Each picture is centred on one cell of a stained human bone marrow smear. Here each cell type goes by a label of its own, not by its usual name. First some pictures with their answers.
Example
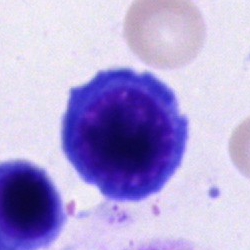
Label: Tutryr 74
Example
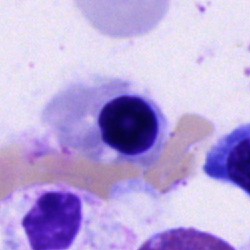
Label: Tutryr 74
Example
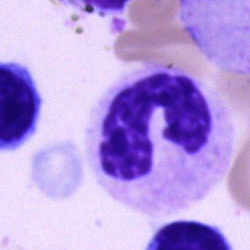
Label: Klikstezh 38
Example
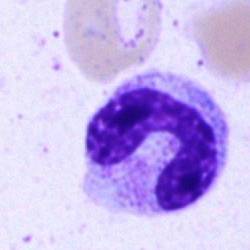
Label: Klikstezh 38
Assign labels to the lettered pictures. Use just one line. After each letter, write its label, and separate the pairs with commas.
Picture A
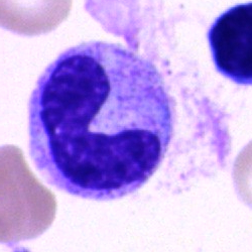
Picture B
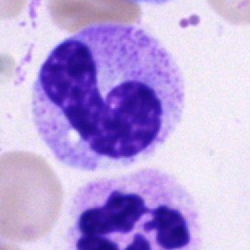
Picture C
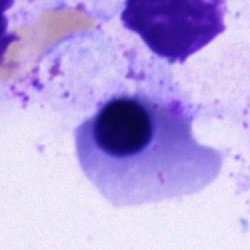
A Klikstezh 38, B Klikstezh 38, C Tutryr 74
